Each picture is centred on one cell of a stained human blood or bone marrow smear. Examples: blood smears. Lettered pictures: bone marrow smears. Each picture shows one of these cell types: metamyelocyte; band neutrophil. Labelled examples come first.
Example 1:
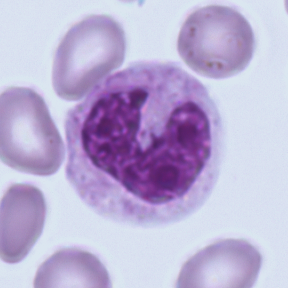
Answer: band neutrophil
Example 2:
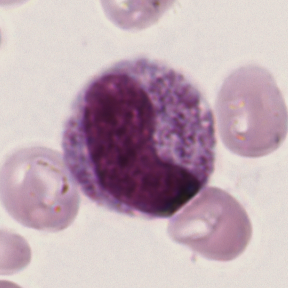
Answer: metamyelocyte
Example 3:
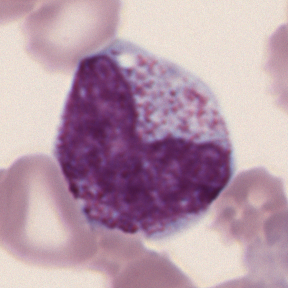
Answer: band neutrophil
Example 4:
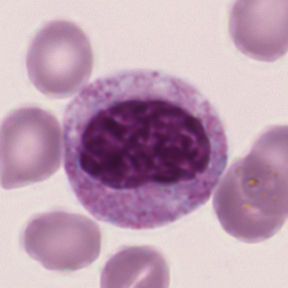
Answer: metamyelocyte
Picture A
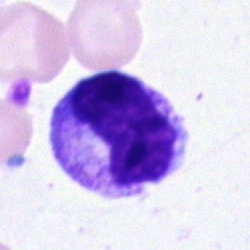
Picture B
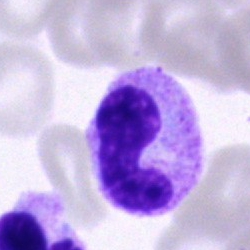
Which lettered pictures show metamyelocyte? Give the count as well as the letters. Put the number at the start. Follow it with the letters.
Count: 1 (A)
